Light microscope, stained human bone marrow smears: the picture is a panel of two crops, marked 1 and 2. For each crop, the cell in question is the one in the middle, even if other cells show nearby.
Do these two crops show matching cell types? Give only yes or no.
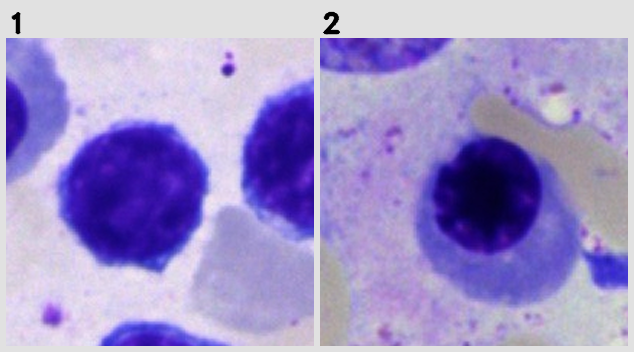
no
